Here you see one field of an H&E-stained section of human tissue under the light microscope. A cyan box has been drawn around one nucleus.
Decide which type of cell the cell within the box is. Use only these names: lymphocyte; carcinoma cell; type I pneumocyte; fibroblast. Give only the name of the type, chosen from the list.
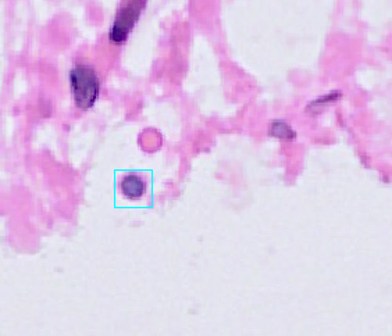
lymphocyte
